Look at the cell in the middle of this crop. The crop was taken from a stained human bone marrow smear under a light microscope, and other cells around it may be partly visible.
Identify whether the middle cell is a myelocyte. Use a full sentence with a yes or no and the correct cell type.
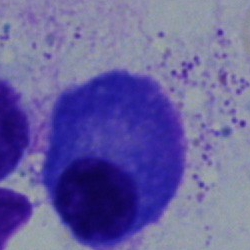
No, the central cell does not represent a myelocyte, but a plasma cell.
